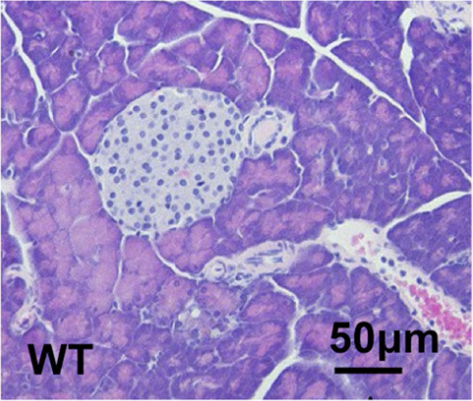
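The islet cells have pale pink-lilac cytoplasm and small round dark nuclei, evenly scattered through the cluster. Around it, acinar cells with deeply purple cytoplasm form tightly packed acini separated by thin clear clefts.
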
